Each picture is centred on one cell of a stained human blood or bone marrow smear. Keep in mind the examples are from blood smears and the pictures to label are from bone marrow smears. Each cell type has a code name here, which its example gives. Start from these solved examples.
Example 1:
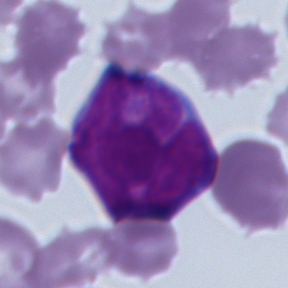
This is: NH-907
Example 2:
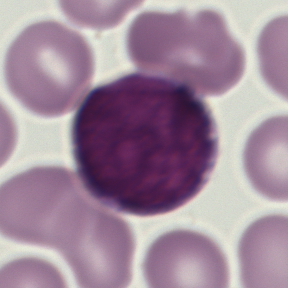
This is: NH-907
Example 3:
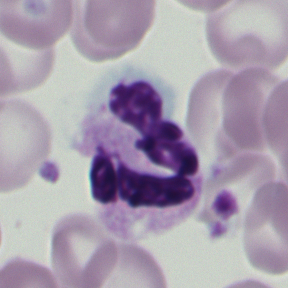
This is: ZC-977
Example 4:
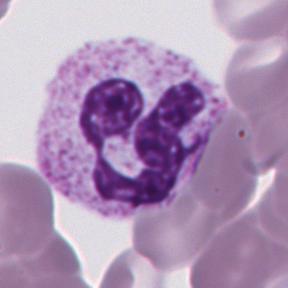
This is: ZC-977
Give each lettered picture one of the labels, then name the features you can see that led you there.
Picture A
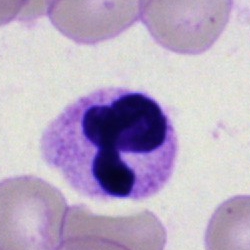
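ZC-977. Fine pinkish-violet granules are scattered throughout the cytoplasm.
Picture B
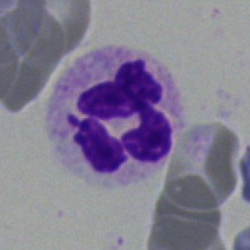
ZC-977. The cytoplasm is abundant and pale pinkish-lilac.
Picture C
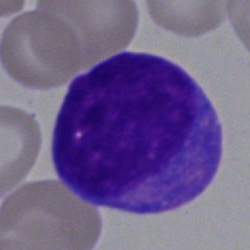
NH-907. The nucleus is large and fills most of the cell.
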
